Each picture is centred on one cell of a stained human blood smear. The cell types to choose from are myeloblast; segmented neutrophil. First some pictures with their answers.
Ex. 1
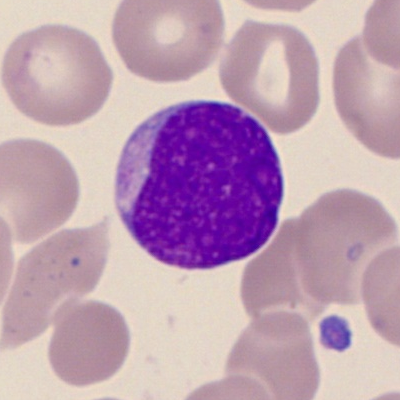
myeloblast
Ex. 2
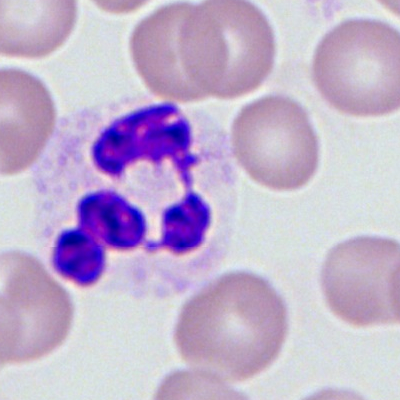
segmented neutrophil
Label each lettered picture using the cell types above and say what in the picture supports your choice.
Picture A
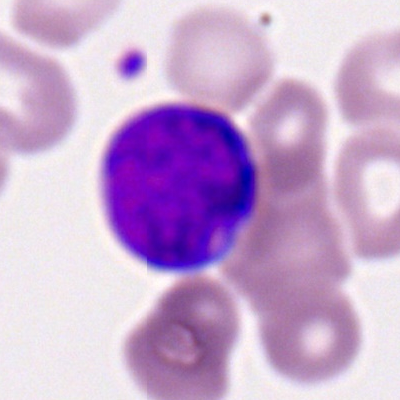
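myeloblast. Reason: The thin rim of cytoplasm is deep blue.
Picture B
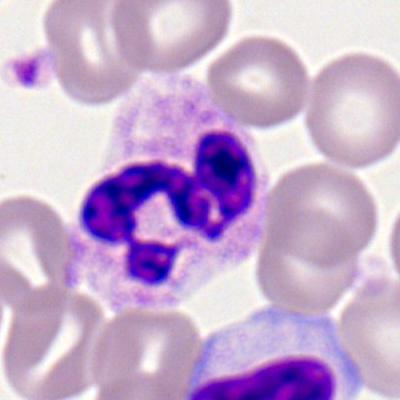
segmented neutrophil. Reason: The cytoplasm is abundant and pale pink-lilac.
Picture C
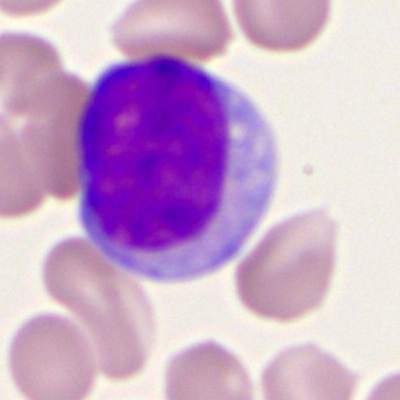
myeloblast. Reason: The nucleus is a single unlobed mass.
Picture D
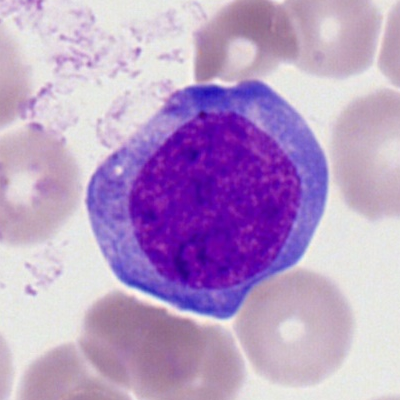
myeloblast. Reason: A moderate rim of deep blue cytoplasm surrounds the nucleus.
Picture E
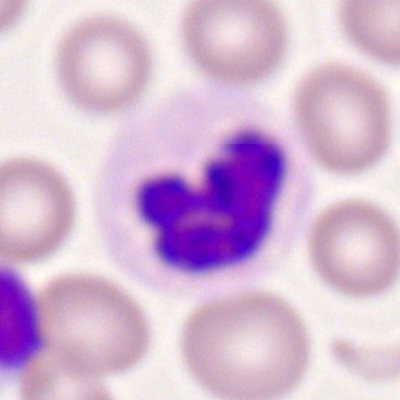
segmented neutrophil. Reason: The nucleus is divided into several lobes.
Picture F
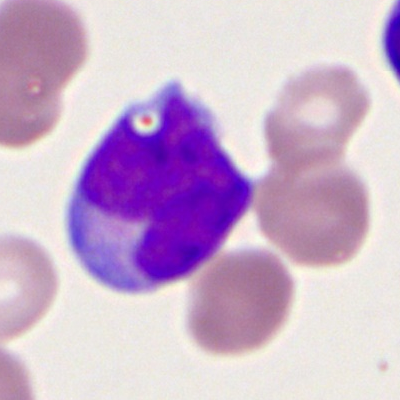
myeloblast. Reason: The nucleus fills most of the cell.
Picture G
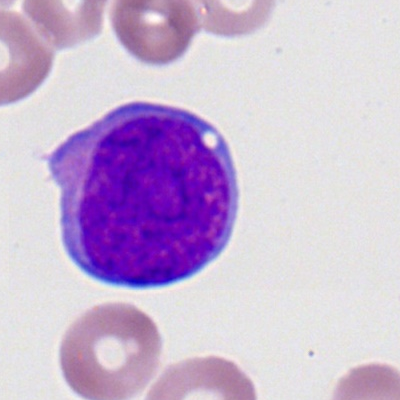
myeloblast. Reason: The cytoplasm is blue, deepest along its outer edge.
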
